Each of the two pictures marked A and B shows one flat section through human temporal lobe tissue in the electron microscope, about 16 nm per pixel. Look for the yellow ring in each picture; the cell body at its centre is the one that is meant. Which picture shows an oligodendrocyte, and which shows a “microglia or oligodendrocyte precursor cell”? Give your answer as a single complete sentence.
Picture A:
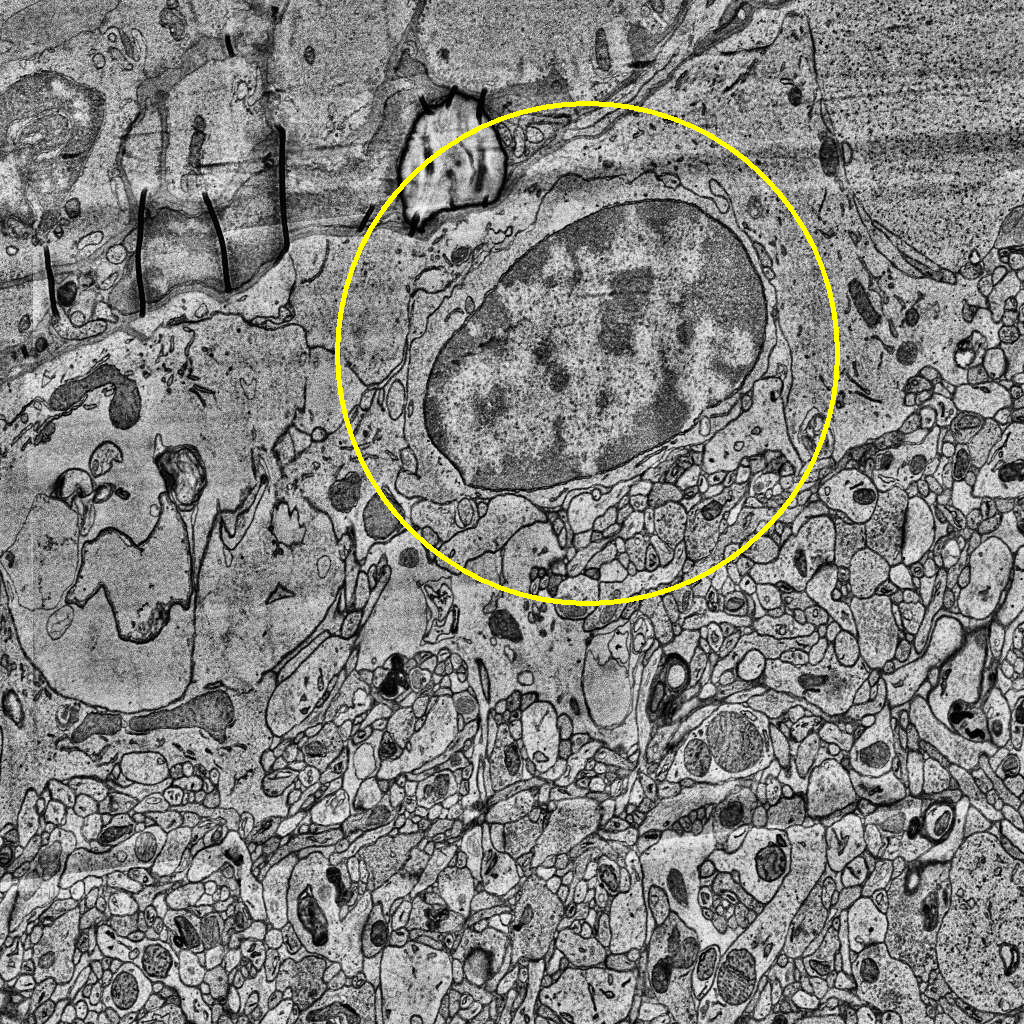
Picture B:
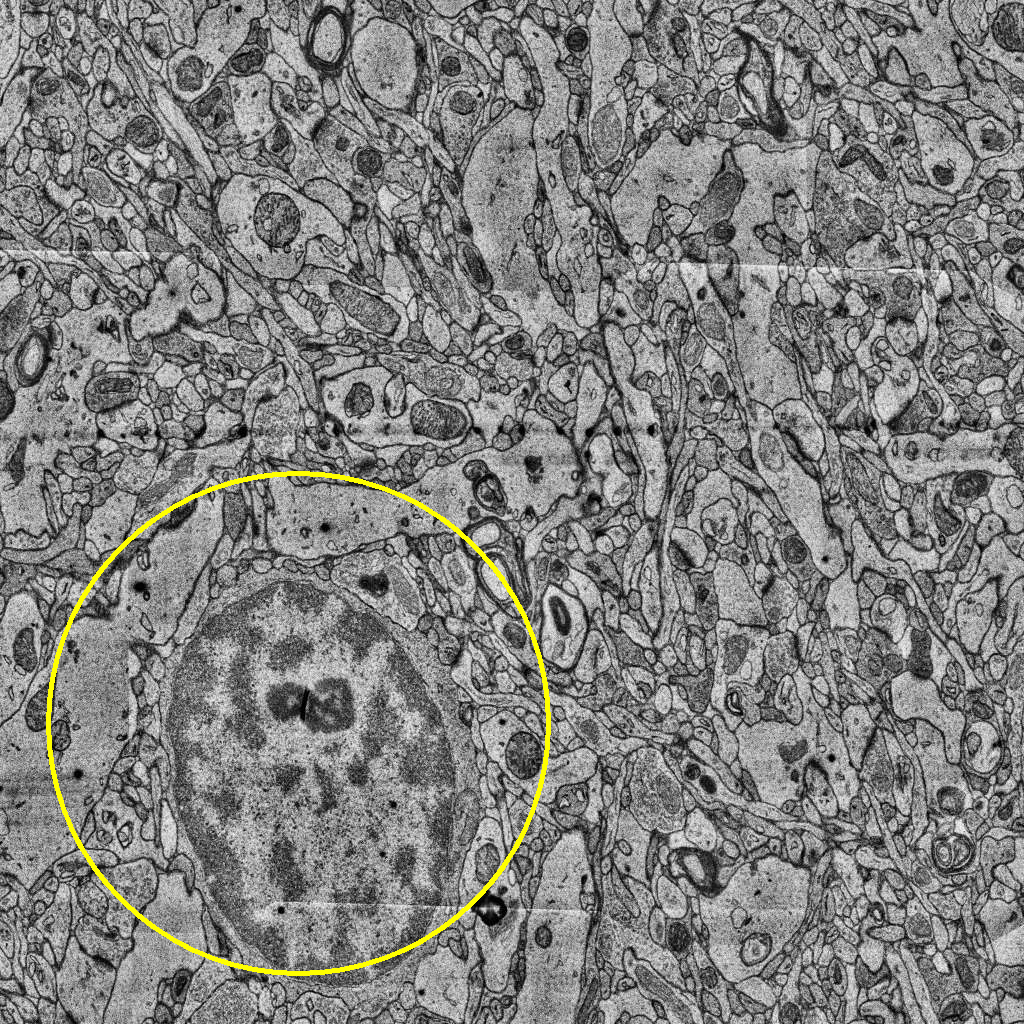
It is picture A that shows a “microglia or oligodendrocyte precursor cell”, and picture B that shows an oligodendrocyte.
